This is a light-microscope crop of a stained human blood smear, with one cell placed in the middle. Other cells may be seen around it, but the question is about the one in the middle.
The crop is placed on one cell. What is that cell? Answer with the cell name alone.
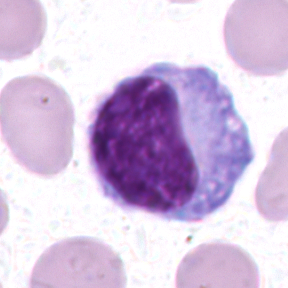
plasma cell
